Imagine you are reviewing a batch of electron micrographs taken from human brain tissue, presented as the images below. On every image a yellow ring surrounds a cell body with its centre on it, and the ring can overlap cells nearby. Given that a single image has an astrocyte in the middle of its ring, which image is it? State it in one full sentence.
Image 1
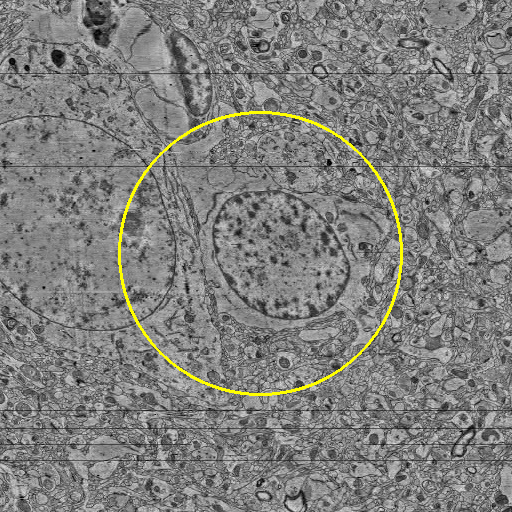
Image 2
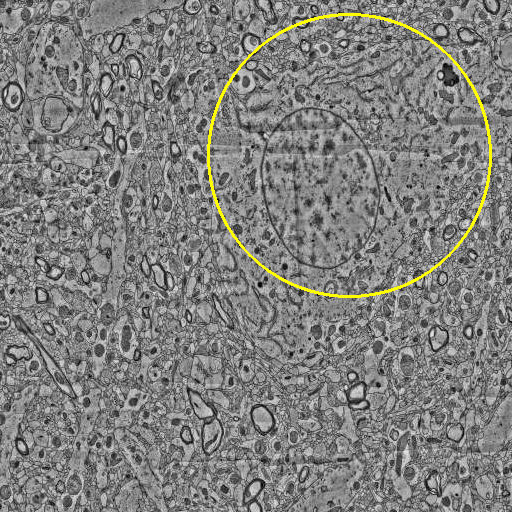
Of all the images, number 1 has the described cell at the centre of its ring.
